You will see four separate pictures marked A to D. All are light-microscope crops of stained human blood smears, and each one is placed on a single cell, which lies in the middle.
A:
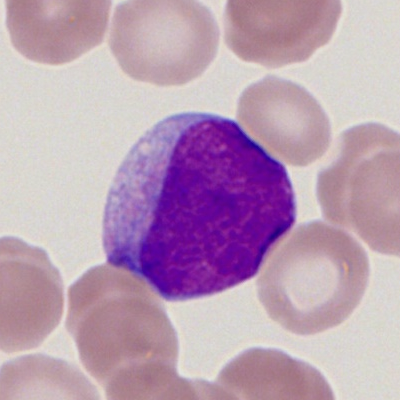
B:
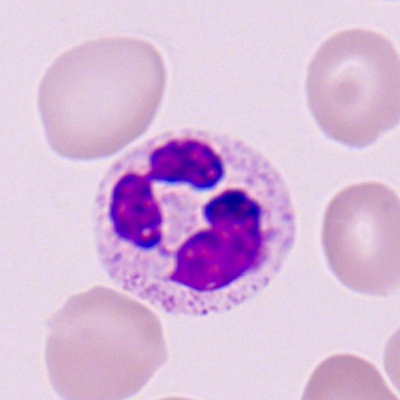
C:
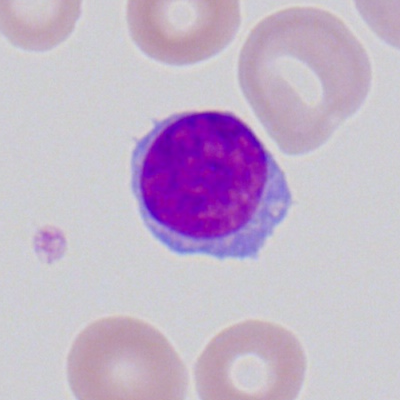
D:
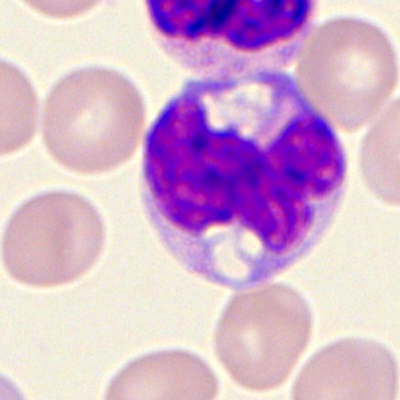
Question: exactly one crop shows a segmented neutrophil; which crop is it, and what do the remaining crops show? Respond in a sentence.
Crop B shows a segmented neutrophil, while crop A is a myeloblast, crop C is a lymphocyte and crop D is a monocyte.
